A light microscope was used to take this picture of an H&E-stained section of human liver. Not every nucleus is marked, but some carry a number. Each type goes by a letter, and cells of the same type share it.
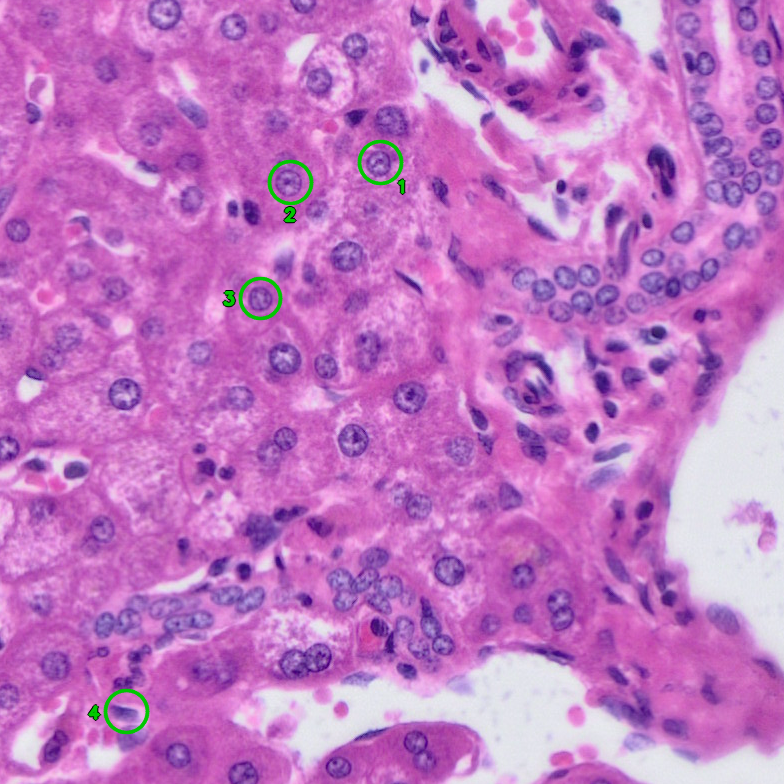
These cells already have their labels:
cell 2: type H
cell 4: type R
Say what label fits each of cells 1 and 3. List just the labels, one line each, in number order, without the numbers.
type H
type H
